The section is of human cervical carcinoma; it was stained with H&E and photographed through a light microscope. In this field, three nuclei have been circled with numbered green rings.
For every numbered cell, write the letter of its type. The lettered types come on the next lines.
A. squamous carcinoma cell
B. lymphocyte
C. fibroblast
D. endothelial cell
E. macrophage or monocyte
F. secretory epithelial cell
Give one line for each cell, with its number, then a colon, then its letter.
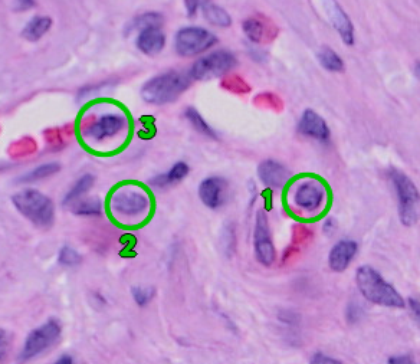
1: D
2: C
3: D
